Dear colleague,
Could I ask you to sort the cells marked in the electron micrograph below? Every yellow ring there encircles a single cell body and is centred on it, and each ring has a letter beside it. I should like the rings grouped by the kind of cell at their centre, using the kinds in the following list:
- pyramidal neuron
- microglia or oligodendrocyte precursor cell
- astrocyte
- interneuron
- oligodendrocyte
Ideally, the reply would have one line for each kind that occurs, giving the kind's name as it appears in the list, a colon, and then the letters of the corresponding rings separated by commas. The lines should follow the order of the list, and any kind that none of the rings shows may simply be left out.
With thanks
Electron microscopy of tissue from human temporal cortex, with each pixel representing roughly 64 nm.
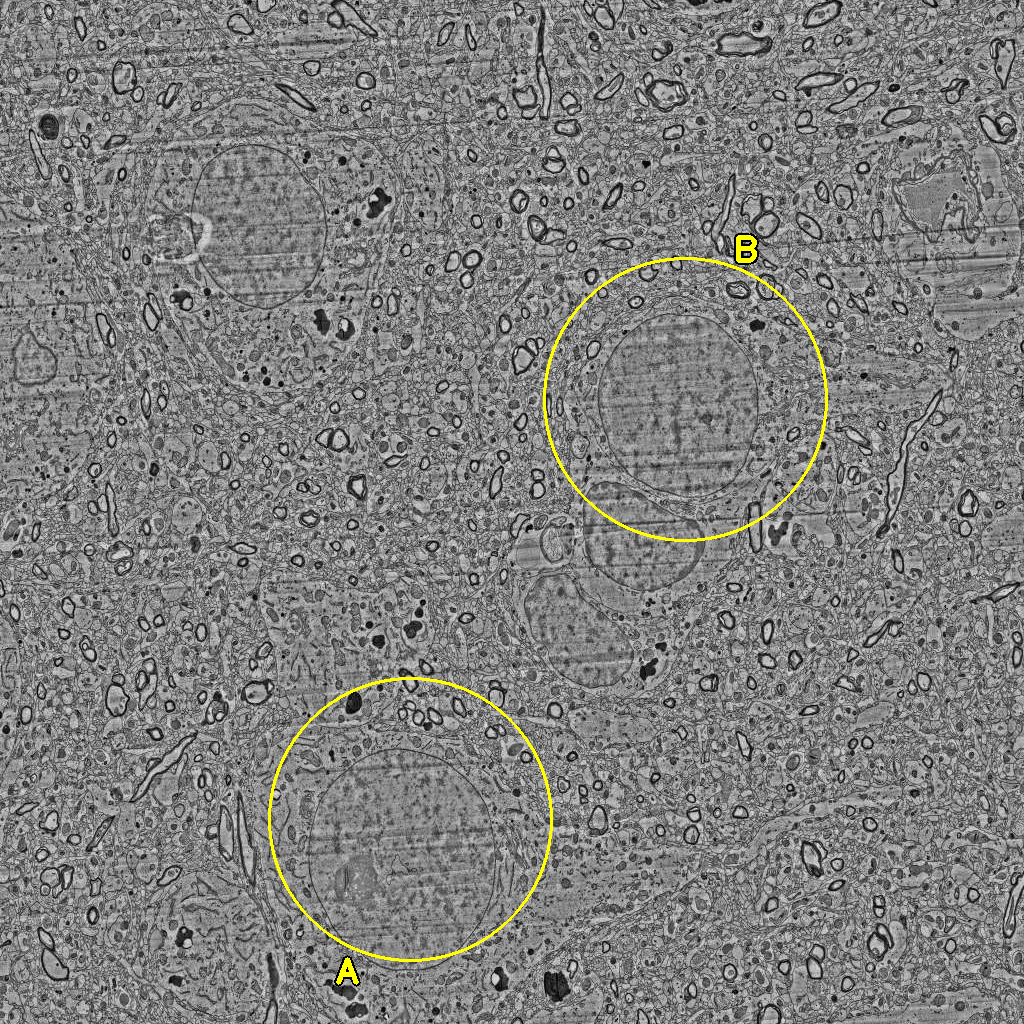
pyramidal neuron: A, B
